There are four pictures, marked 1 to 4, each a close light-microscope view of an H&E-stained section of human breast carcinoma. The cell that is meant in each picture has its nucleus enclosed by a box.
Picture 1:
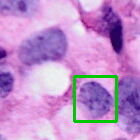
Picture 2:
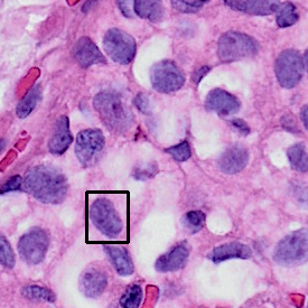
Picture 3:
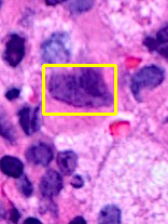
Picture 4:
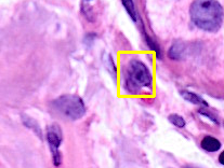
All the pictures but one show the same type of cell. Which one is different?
4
